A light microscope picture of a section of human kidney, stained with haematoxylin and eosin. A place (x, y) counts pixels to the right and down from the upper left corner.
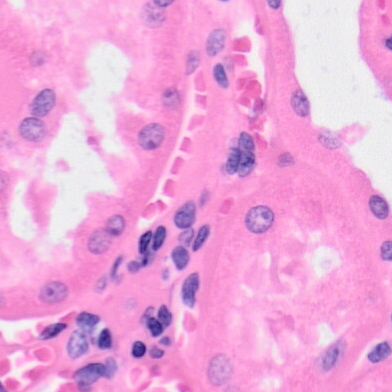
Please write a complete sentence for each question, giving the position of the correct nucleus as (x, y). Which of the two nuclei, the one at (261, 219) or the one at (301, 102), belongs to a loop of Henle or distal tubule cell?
The nucleus contained in a loop of Henle or distal tubule cell is the one at (301, 102).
